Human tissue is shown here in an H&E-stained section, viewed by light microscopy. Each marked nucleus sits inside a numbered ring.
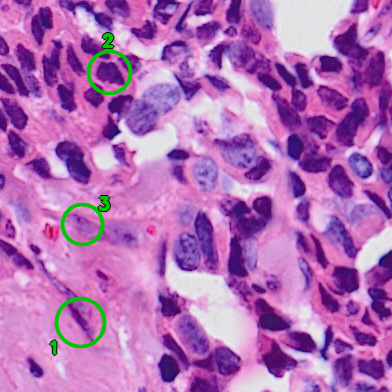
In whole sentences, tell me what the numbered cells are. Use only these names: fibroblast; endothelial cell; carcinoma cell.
Cell 1 is a fibroblast, cell 2 is a carcinoma cell and cell 3 is an endothelial cell.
